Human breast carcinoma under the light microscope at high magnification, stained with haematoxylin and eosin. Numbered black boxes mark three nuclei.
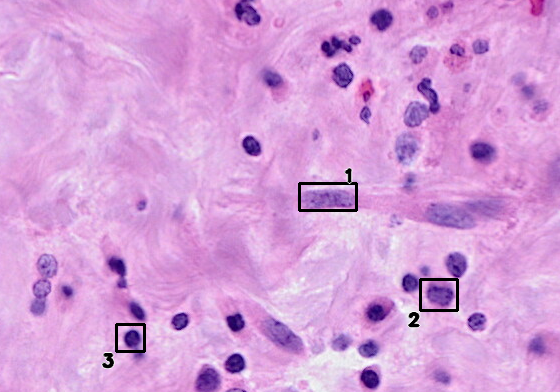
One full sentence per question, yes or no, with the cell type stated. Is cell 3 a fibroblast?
No, number 3 is assigned to a lymphocyte, not to a fibroblast.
